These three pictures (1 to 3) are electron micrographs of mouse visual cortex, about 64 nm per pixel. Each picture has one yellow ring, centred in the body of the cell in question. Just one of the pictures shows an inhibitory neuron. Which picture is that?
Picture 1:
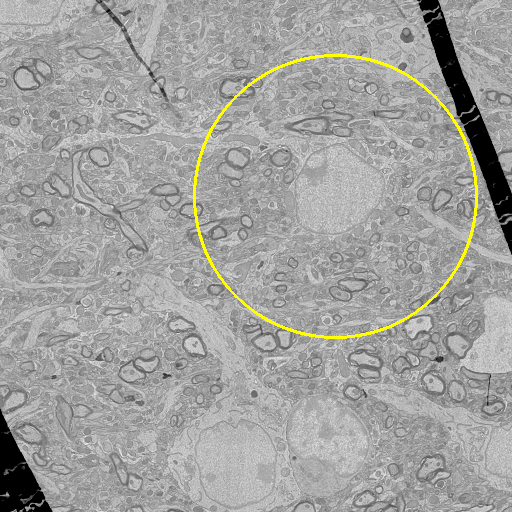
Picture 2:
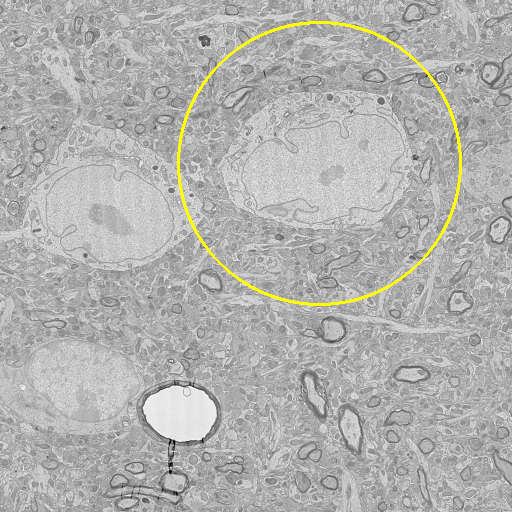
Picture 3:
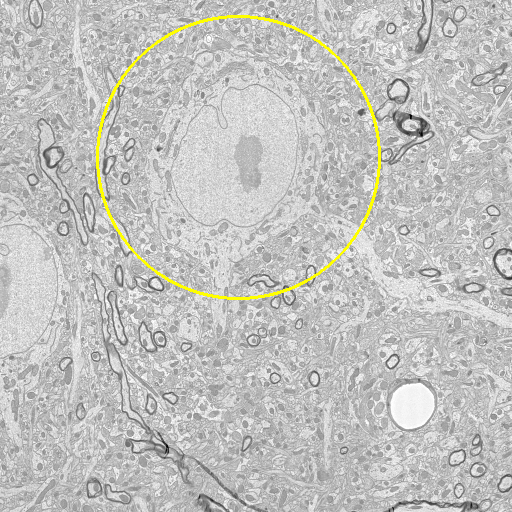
Picture 2 is the one that shows the inhibitory neuron.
